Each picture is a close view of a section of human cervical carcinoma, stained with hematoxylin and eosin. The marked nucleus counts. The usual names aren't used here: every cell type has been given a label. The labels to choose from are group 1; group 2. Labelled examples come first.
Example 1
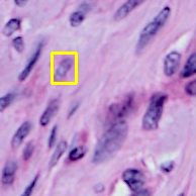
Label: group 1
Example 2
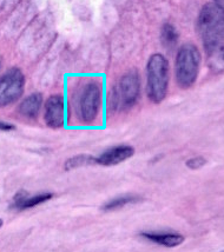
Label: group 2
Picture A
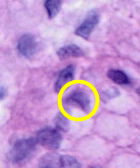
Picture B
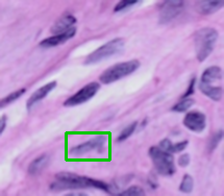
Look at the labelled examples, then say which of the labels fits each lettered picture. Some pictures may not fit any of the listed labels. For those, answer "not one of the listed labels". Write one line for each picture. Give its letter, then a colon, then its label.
A: group 2
B: not one of the listed labels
